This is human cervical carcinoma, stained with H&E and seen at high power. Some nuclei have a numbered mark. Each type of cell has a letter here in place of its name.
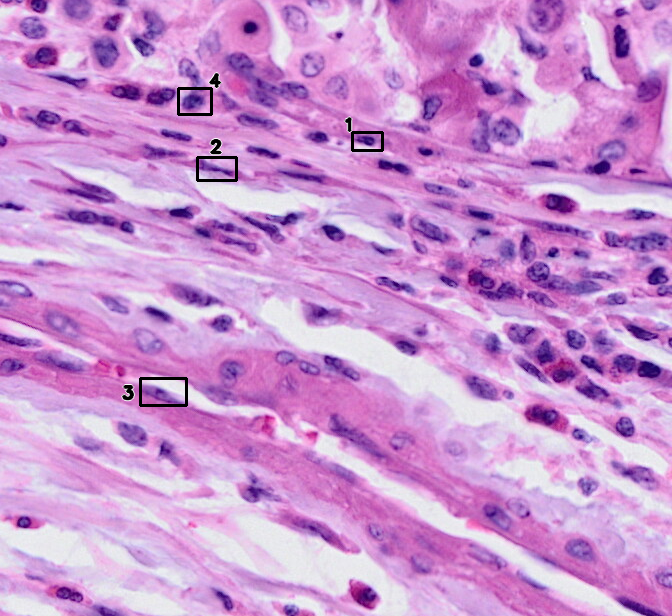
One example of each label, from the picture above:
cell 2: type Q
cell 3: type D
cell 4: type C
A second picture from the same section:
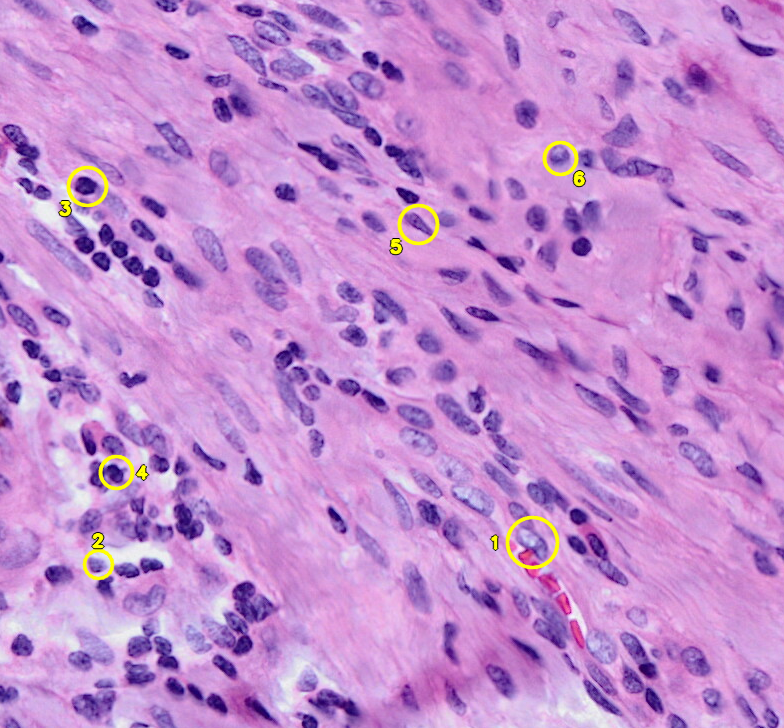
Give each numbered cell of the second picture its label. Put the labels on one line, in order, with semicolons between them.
type D; type C; type C; type C; type Q; type Q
